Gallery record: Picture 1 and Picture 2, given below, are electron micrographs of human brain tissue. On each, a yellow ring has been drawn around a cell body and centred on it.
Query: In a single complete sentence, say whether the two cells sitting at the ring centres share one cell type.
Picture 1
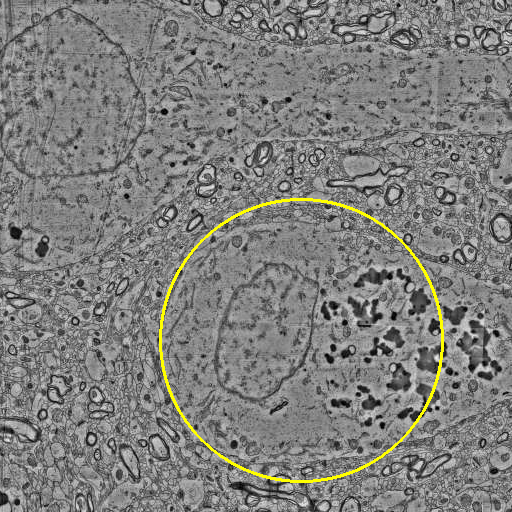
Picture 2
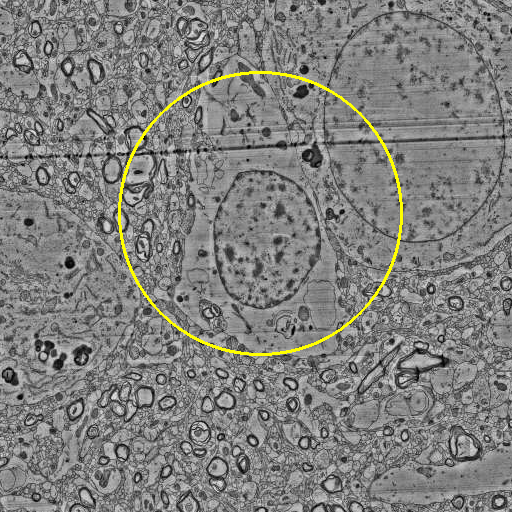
No, in the two pictures the cells at the rings' centres are of two separate types.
